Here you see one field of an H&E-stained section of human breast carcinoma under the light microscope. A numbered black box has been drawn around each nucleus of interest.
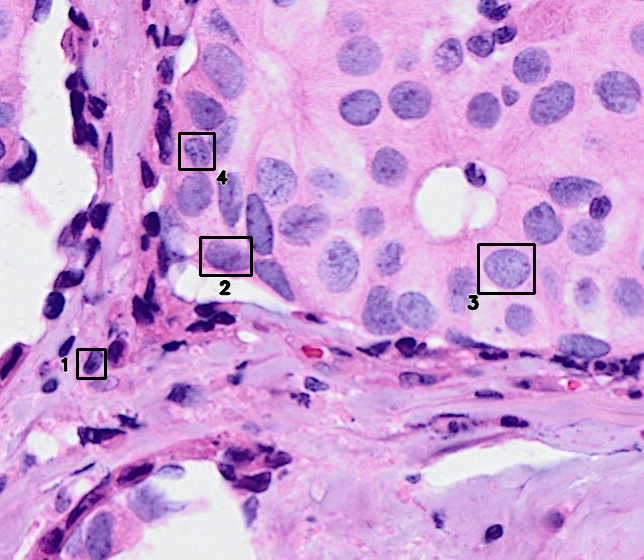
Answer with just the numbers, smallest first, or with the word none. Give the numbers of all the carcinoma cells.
2, 3, 4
